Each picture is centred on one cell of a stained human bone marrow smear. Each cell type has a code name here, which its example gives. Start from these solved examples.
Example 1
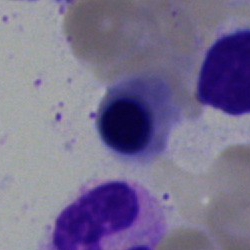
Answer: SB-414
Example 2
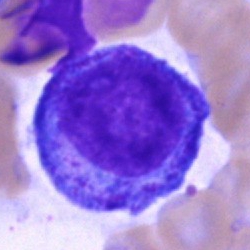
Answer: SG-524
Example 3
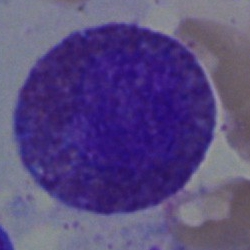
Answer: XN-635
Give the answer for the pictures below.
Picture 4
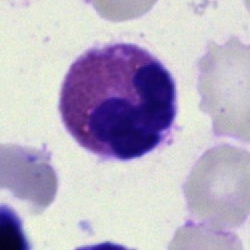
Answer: XN-635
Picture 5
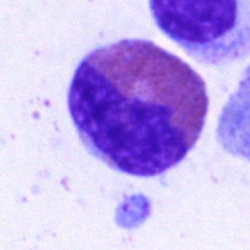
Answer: XN-635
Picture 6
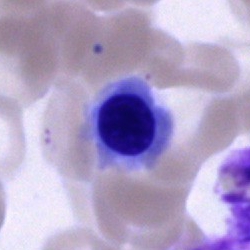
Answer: SB-414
